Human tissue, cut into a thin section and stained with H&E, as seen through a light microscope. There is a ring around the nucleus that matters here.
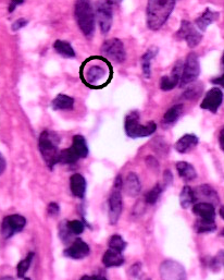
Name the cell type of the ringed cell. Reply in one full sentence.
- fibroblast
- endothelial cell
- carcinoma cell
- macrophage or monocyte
The cell type represented by the ringed cell is that of a macrophage or monocyte.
